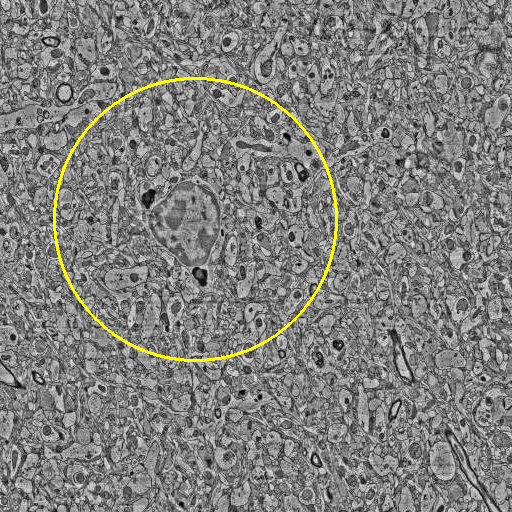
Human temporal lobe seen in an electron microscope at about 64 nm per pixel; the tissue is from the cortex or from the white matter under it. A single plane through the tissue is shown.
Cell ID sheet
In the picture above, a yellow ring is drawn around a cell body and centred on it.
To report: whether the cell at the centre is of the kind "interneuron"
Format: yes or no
no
